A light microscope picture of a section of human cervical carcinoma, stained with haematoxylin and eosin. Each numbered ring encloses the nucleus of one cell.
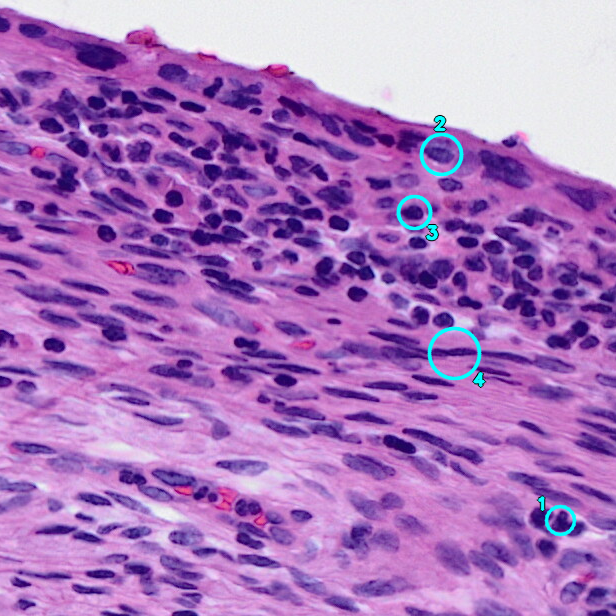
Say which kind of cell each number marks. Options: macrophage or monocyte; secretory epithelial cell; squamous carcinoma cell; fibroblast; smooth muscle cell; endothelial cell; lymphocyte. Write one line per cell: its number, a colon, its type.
1: lymphocyte
2: secretory epithelial cell
3: lymphocyte
4: fibroblast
